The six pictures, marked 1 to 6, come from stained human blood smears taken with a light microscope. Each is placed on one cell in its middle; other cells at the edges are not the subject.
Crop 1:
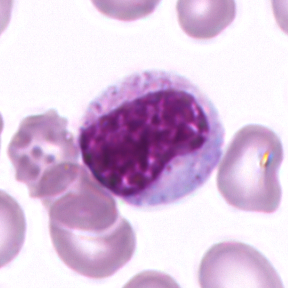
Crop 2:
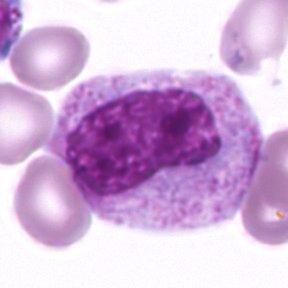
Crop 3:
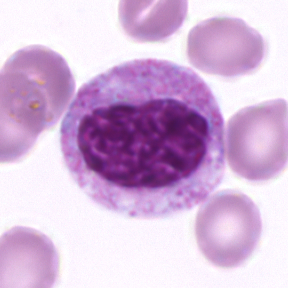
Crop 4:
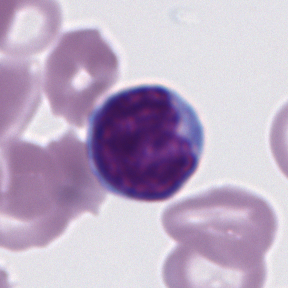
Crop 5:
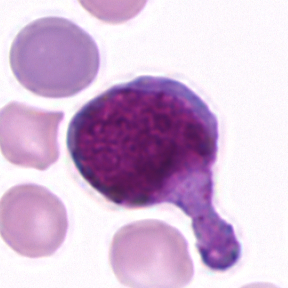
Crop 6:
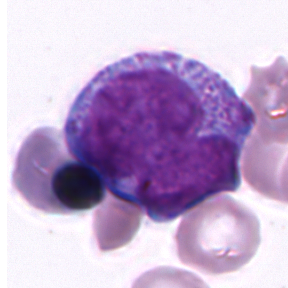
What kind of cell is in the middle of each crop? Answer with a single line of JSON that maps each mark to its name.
{"1": "metamyelocyte", "2": "myelocyte", "3": "metamyelocyte", "4": "typical lymphocyte", "5": "atypical promyelocyte", "6": "promyelocyte"}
